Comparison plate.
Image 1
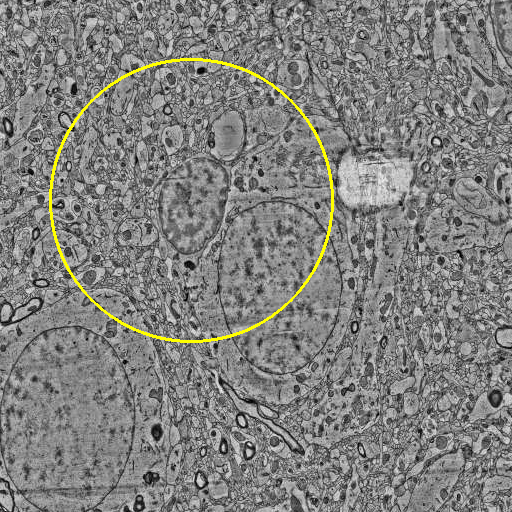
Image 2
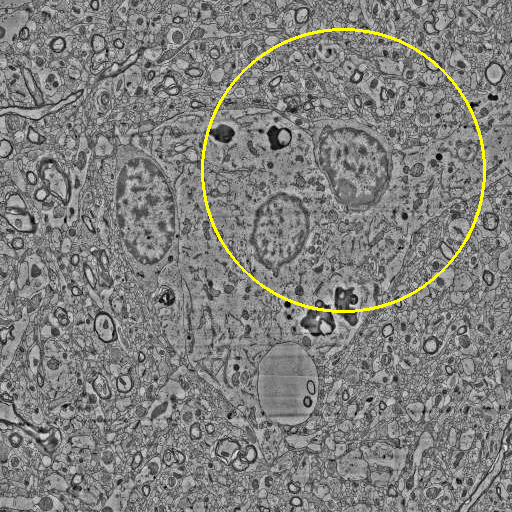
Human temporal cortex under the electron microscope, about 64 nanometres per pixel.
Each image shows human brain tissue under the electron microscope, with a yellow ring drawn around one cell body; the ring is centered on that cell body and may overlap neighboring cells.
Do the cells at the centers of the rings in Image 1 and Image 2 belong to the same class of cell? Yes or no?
yes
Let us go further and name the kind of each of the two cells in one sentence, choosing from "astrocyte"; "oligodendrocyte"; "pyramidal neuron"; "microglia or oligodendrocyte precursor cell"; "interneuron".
Each of the two rings surrounds an oligodendrocyte.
